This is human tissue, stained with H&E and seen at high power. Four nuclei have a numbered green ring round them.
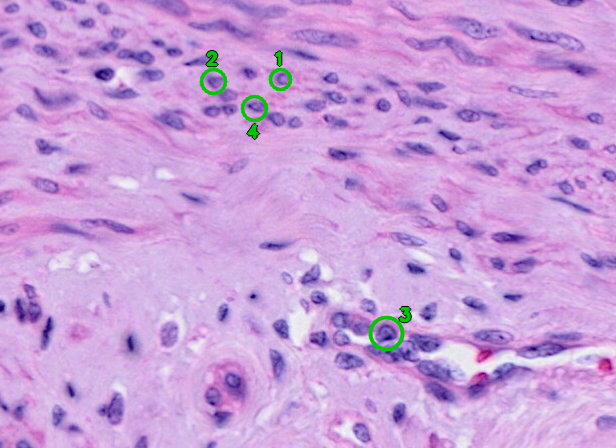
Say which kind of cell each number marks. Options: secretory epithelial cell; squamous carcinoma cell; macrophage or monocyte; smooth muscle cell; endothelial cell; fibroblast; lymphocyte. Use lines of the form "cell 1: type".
cell 1: smooth muscle cell
cell 2: smooth muscle cell
cell 3: endothelial cell
cell 4: smooth muscle cell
